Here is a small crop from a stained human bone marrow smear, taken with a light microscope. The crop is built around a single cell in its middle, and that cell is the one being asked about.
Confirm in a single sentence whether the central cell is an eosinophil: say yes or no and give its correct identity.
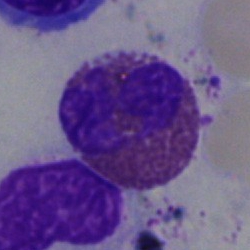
Yes, the cell shown centrally is an eosinophil.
